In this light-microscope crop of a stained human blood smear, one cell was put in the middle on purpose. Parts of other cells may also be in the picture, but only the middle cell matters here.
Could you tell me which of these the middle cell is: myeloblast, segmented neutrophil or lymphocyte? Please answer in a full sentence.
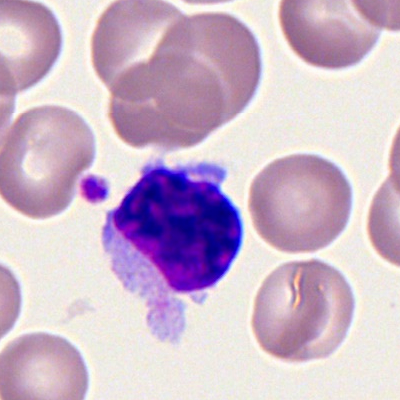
The middle position in this crop is taken by a lymphocyte.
